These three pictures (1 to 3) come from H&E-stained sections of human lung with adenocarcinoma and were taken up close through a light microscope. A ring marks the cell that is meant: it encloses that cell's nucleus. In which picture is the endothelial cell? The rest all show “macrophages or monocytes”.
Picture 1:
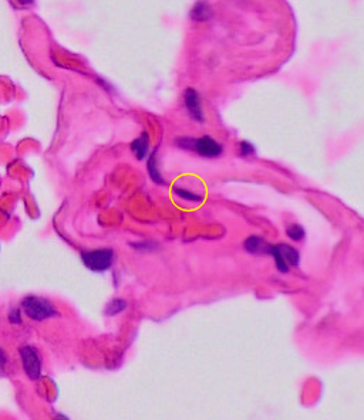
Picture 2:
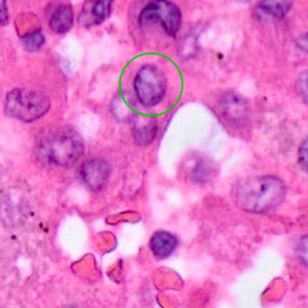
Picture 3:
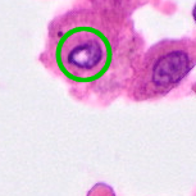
1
